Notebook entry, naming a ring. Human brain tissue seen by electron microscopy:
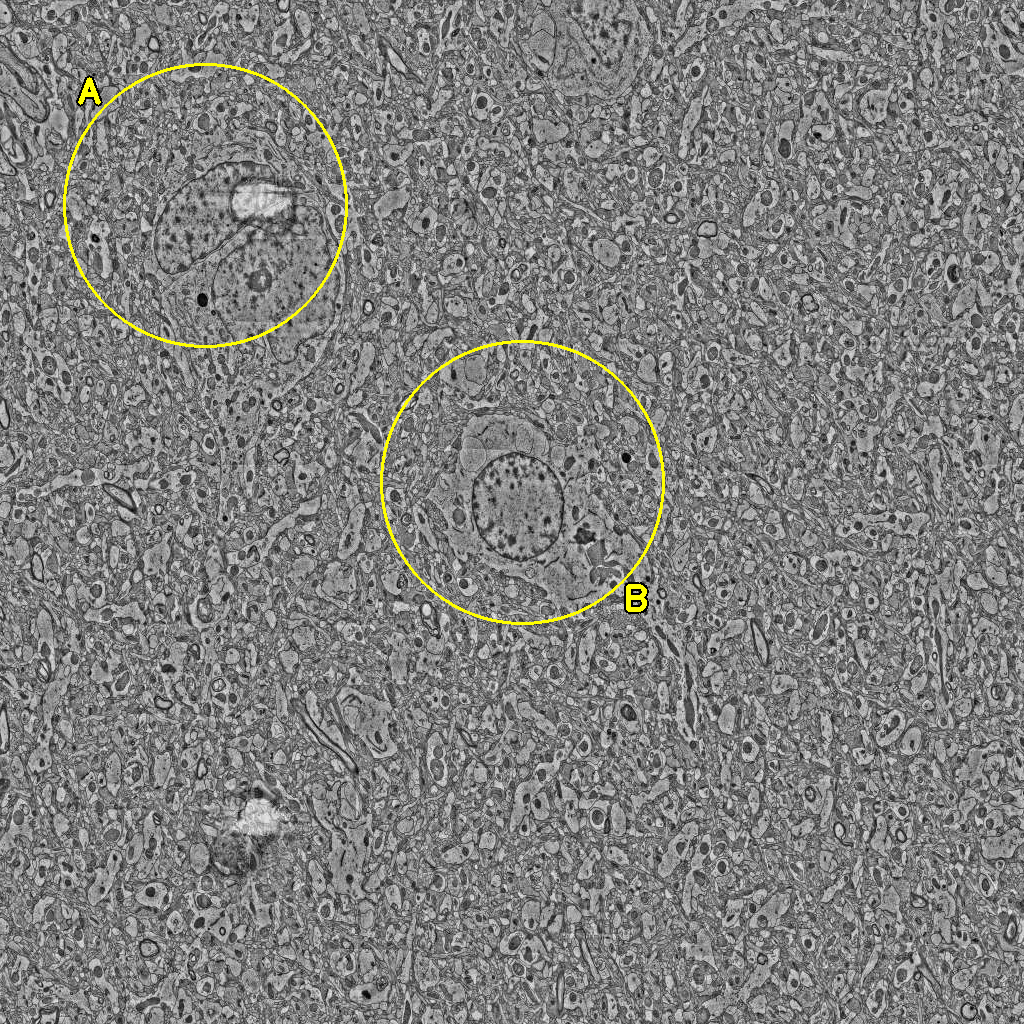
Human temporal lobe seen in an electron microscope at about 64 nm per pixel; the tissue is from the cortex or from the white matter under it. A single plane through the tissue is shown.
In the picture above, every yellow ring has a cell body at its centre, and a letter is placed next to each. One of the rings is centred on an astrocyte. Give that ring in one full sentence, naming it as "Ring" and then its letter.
Ring B is the ring whose centre holds the cell asked for.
